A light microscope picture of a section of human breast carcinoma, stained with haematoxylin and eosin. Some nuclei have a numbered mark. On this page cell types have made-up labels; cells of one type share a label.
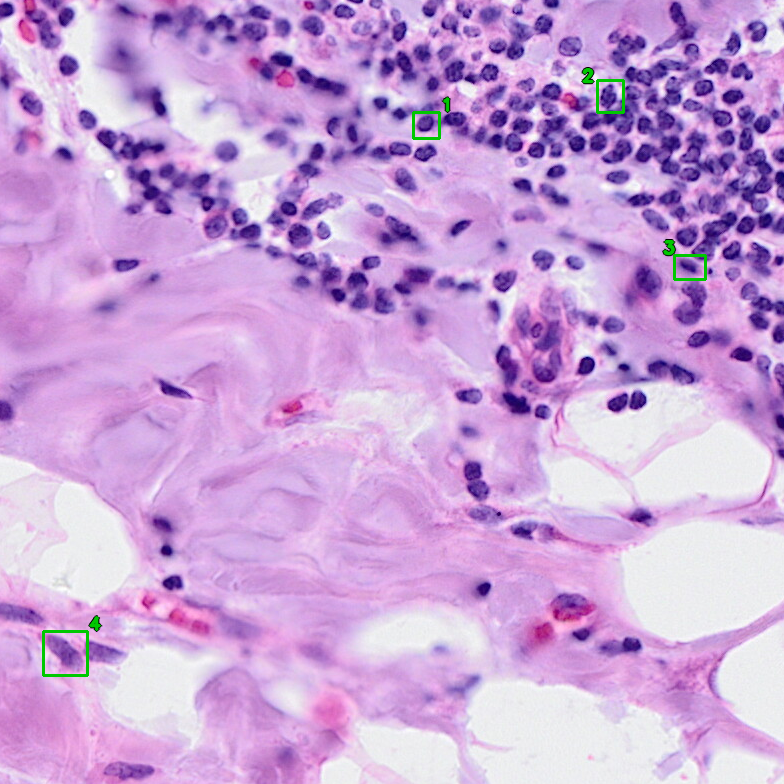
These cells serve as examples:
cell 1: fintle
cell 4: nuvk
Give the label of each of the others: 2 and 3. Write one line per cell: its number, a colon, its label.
2: fintle
3: fintle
